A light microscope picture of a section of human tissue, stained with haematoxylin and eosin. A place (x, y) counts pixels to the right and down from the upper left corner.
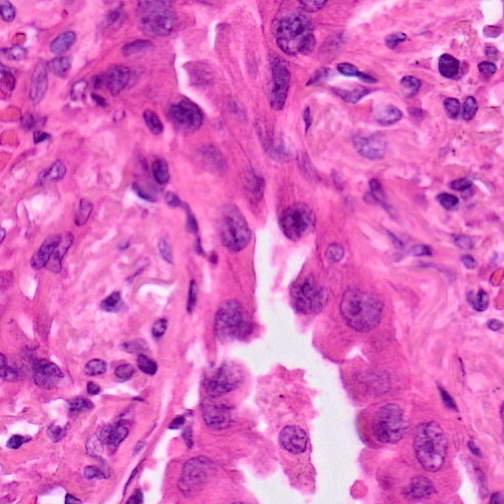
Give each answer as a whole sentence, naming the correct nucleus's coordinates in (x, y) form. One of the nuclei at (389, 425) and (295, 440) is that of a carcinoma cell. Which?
Belonging to a carcinoma cell is the nucleus at (389, 425).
